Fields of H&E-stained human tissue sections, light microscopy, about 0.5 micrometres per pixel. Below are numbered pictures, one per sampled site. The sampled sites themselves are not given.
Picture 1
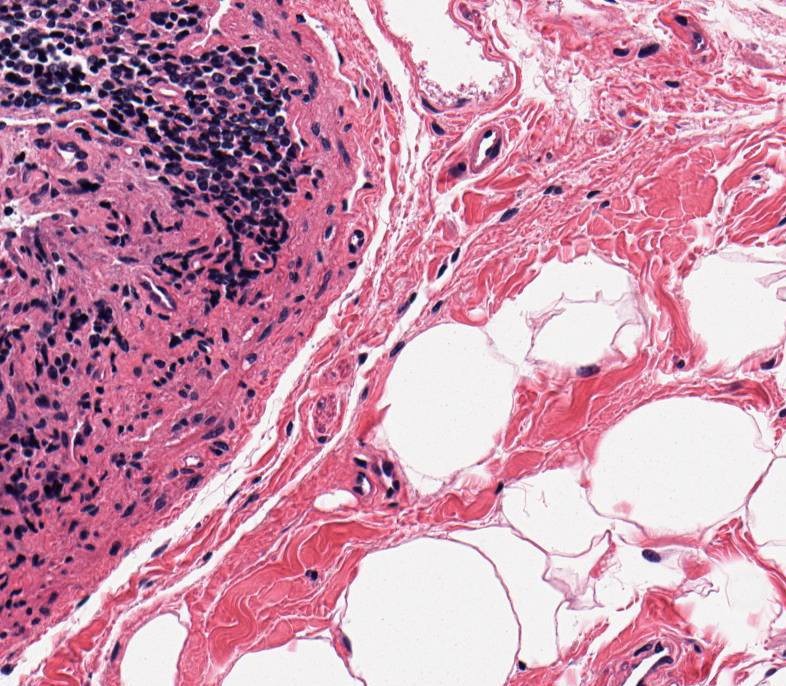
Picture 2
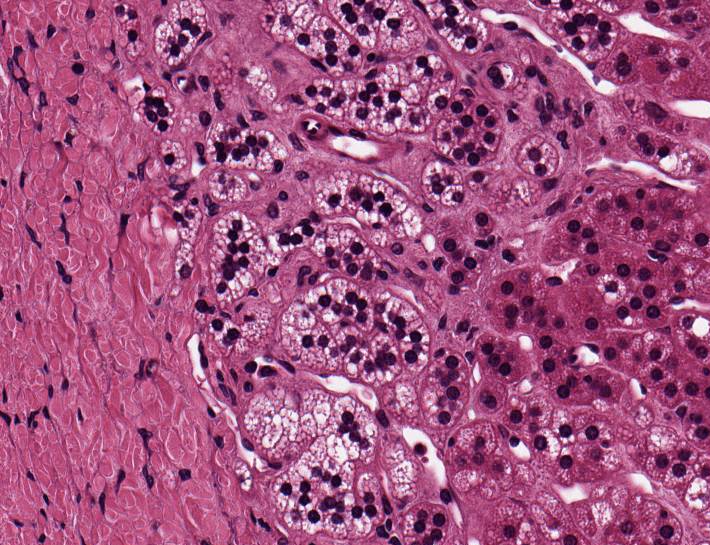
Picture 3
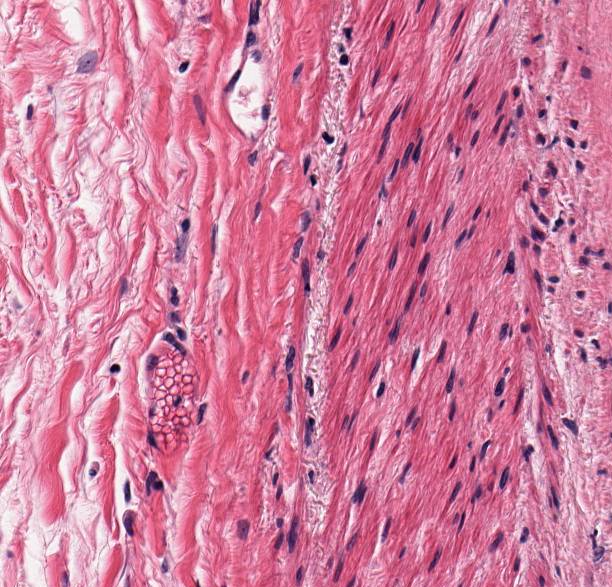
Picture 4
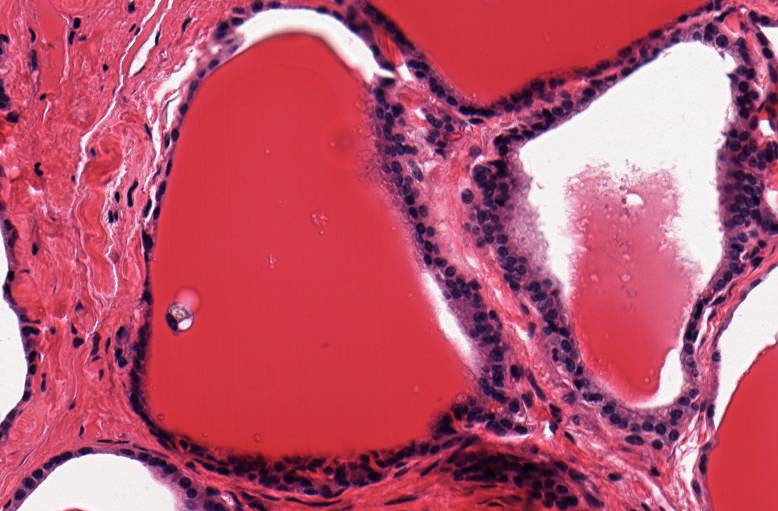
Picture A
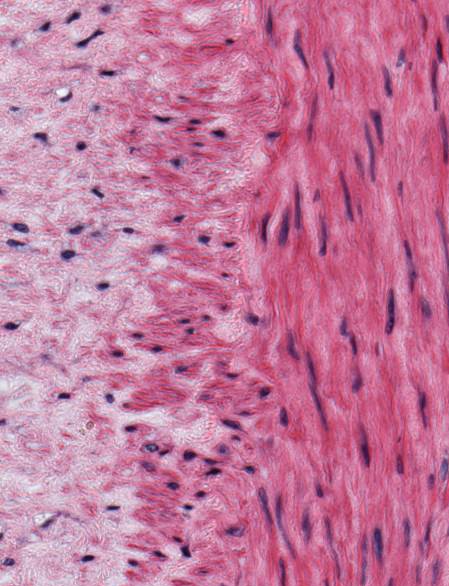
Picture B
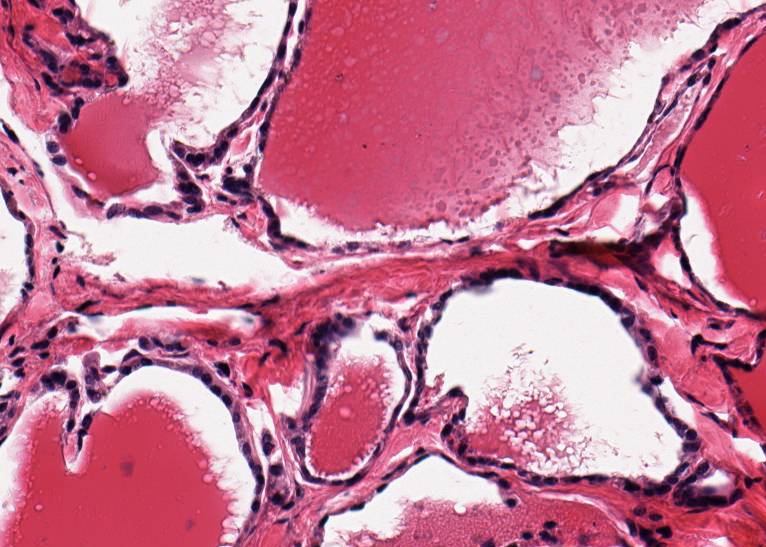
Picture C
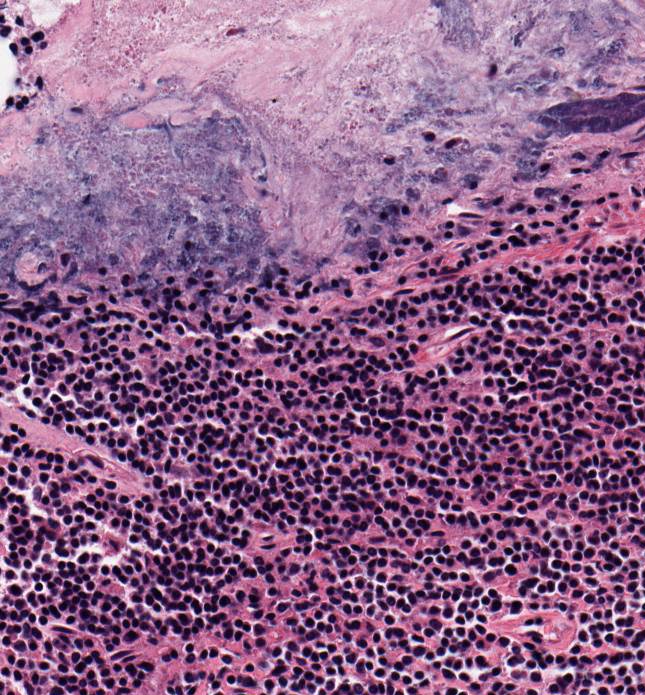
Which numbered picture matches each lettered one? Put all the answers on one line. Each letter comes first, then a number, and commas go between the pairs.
A 3, B 4, C 1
